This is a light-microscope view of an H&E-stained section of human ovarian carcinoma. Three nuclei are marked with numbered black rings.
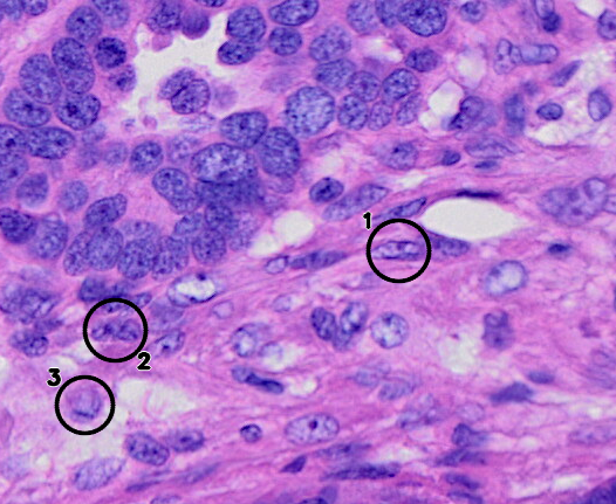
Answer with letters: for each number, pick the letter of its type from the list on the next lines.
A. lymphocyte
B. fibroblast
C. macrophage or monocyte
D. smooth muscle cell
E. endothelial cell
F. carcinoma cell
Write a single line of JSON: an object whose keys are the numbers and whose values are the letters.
{"1": "B", "2": "C", "3": "B"}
